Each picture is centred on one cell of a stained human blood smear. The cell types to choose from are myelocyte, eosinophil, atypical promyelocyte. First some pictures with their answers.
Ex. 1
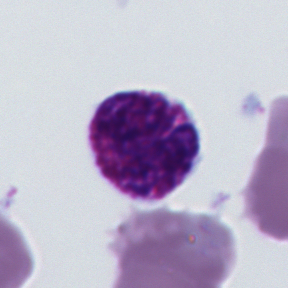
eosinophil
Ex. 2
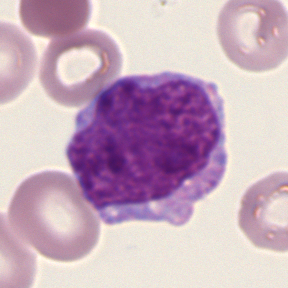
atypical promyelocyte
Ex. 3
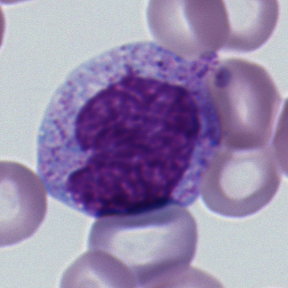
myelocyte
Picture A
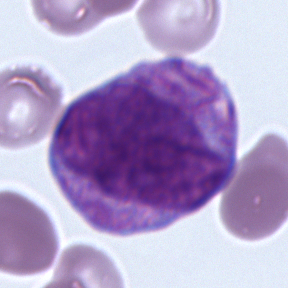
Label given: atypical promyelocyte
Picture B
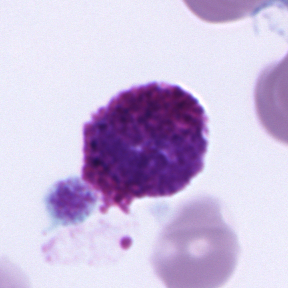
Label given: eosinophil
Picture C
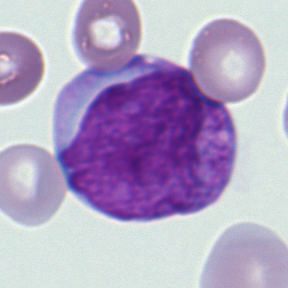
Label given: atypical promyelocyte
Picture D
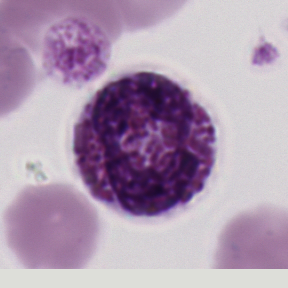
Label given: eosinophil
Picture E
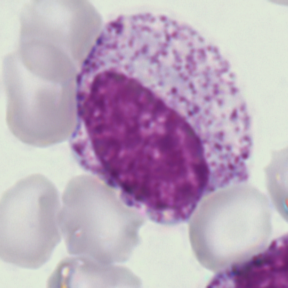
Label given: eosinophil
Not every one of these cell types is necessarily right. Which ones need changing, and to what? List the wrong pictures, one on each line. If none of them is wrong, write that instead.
E should be myelocyte, not eosinophil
